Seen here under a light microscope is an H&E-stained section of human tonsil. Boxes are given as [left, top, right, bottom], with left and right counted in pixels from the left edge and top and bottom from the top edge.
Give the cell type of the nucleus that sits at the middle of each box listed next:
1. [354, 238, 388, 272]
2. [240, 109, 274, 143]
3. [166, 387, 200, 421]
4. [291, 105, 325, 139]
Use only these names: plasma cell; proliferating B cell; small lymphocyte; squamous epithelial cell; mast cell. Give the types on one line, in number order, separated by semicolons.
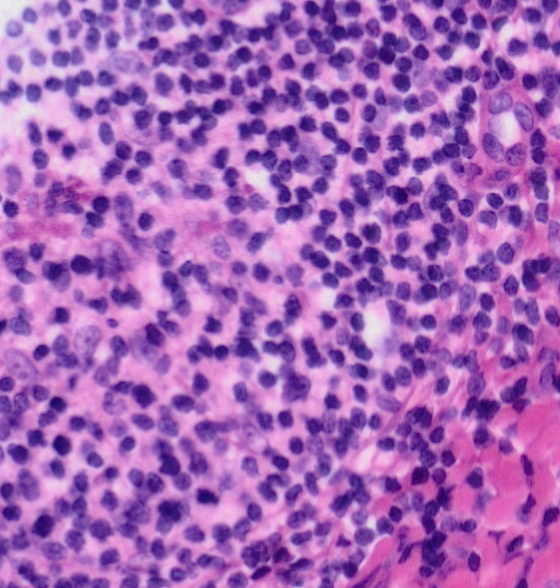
small lymphocyte; small lymphocyte; proliferating B cell; small lymphocyte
